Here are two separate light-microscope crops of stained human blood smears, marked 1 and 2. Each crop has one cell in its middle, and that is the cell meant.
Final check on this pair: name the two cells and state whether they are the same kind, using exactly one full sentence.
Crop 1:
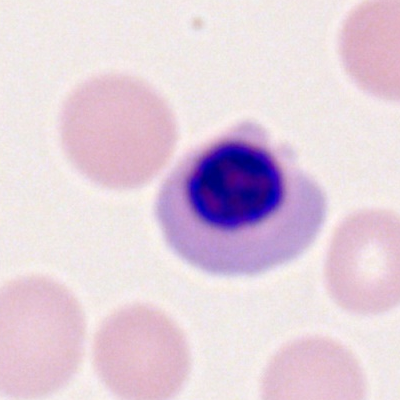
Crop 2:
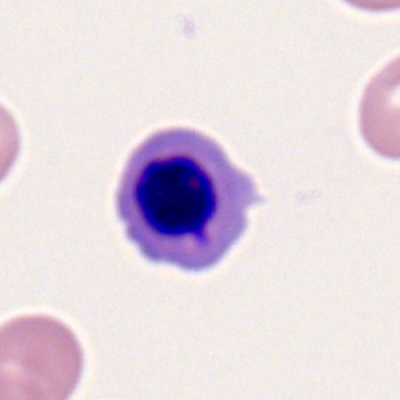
Yes, the cells placed at the centre of both crops are erythroblasts.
